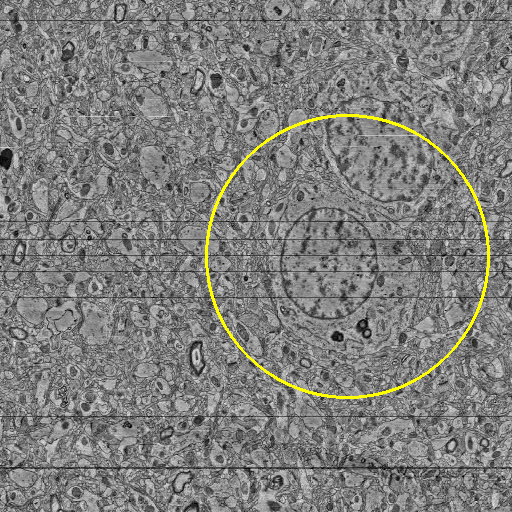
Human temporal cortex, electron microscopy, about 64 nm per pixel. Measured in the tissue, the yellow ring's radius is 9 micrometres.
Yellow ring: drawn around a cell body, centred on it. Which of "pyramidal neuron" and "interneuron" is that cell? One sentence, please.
That cell body is from a pyramidal neuron.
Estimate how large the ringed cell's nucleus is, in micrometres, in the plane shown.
The nucleus comes to roughly 7 by 6 micrometres in this plane.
